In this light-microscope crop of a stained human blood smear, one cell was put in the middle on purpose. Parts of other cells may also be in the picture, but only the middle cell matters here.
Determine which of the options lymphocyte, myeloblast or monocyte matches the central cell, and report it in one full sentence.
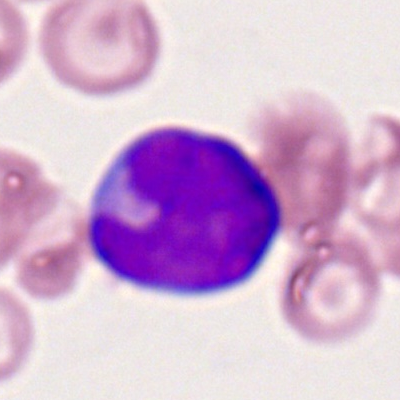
The cell in the middle of the field of view is a myeloblast.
